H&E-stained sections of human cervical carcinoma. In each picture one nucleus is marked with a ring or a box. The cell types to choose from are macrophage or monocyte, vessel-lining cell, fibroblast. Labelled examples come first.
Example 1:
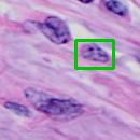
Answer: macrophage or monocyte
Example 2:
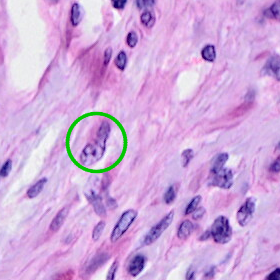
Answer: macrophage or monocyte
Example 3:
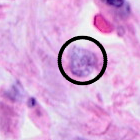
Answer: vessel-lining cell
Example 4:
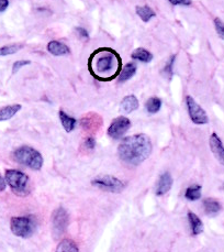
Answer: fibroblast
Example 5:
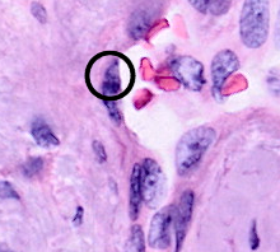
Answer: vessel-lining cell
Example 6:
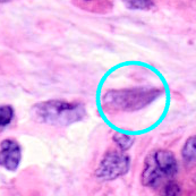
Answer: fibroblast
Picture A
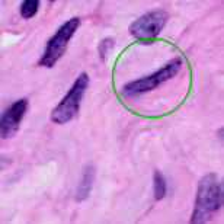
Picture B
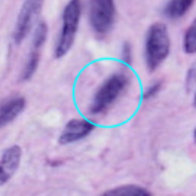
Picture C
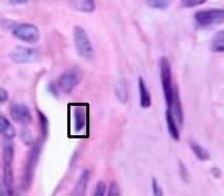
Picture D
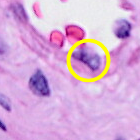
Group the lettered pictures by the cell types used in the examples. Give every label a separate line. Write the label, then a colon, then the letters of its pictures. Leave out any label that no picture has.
vessel-lining cell: C, D
fibroblast: A, B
